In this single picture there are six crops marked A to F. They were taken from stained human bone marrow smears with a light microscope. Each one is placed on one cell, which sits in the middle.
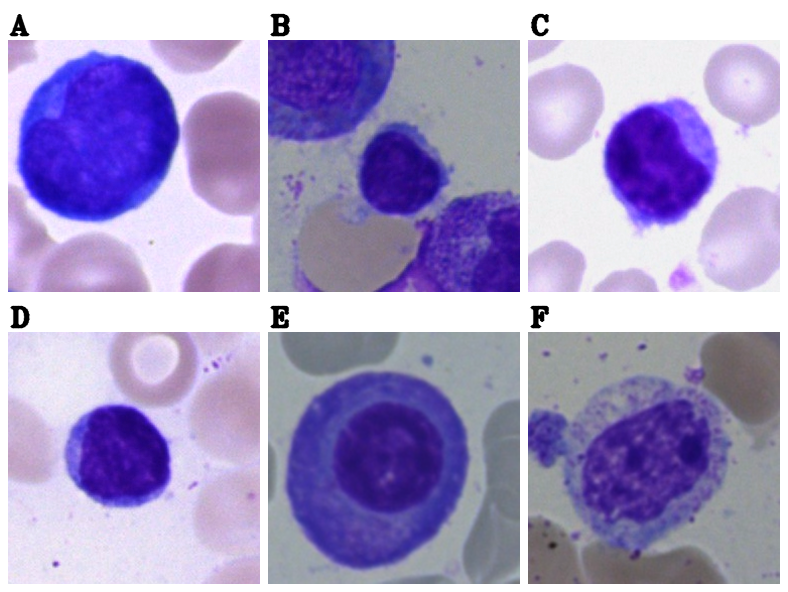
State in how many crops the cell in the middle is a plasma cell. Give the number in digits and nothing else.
1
